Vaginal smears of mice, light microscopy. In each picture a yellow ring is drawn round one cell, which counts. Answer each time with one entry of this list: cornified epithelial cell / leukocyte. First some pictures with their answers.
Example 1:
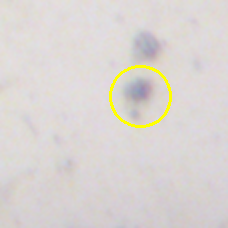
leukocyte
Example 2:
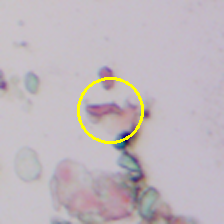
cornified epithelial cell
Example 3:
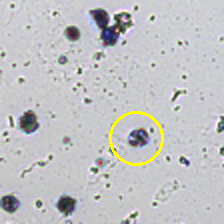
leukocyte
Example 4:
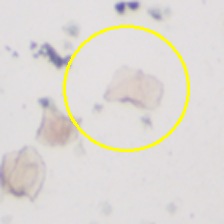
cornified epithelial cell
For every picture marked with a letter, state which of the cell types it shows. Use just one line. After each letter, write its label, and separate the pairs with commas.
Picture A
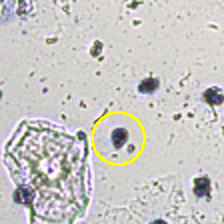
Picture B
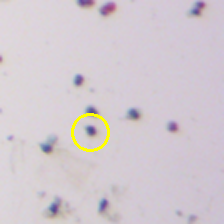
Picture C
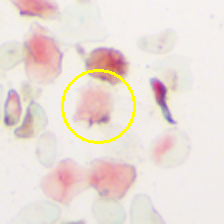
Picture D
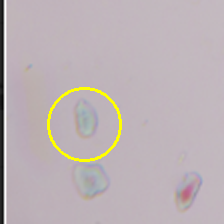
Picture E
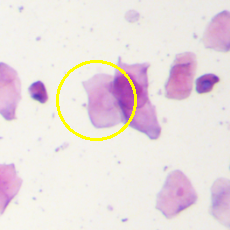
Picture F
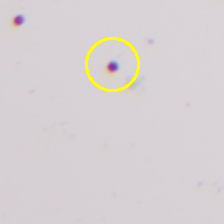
A leukocyte, B leukocyte, C cornified epithelial cell, D cornified epithelial cell, E cornified epithelial cell, F leukocyte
